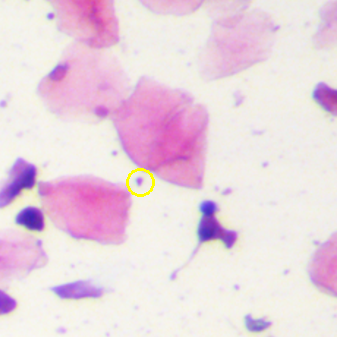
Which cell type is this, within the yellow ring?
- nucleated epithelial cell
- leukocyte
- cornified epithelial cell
Within the ring is a leukocyte.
